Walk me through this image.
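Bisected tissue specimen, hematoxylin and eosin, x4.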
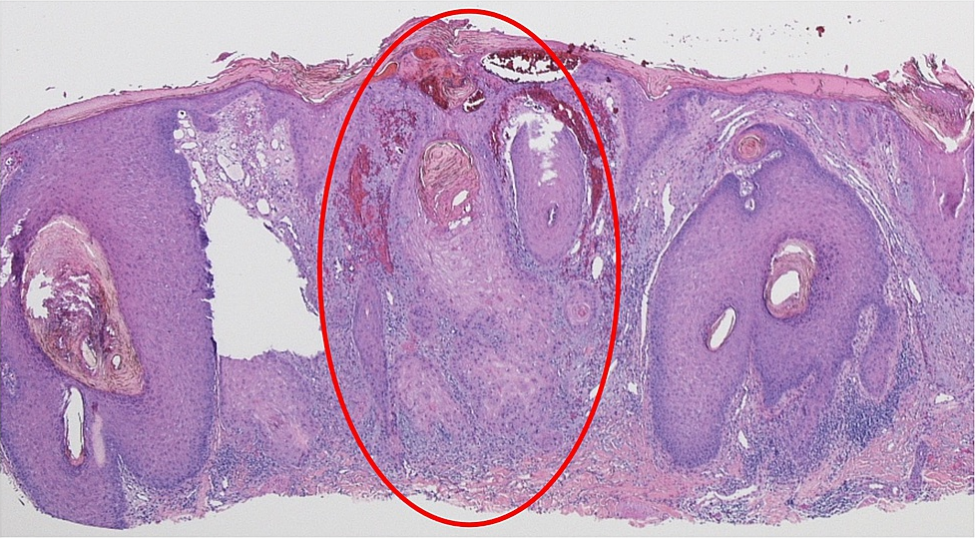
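This low-power section shows skin in which a thickened, keratinizing squamous epithelium extends deep into the dermis. The surface carries a thick pink layer of keratin, and at the top centre red extravasated blood lies within this keratin layer. The epidermis is markedly thickened and forms broad, rounded downgrowths of pink squamous cells, several of which enclose whorls of lamellated pink keratin. In the centre, irregular epithelial nests with less orderly architecture push downward into the dermis. The dermis around the epithelial masses contains dense bands of small, dark blue cells consistent with lymphocytes.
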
